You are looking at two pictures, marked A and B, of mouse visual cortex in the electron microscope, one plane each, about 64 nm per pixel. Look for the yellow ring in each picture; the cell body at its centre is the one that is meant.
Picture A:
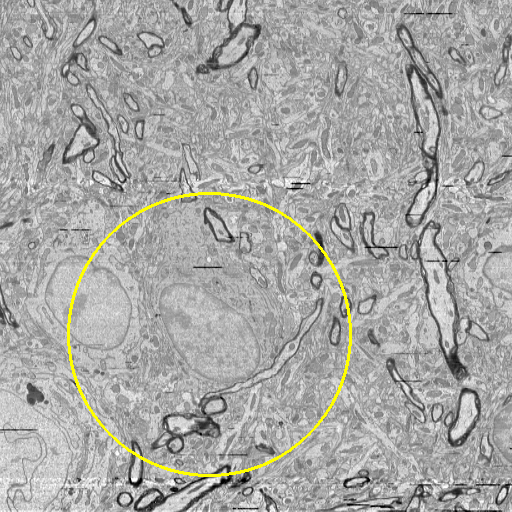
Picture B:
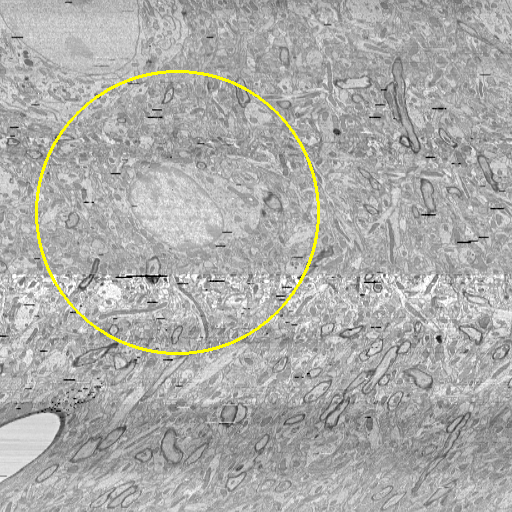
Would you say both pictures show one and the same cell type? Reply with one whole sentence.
Yes, they are the same type: both are oligodendrocytes.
